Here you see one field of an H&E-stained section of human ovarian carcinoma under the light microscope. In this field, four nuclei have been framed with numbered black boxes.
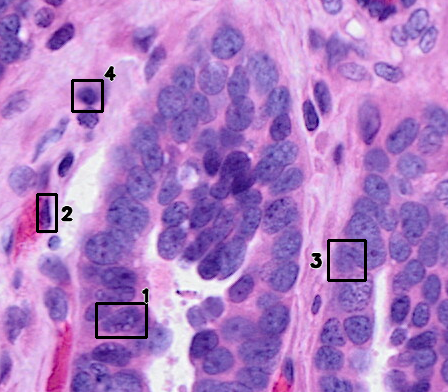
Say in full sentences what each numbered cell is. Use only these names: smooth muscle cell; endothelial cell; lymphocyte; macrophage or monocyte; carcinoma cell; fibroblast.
Cells 1 and 3 are carcinoma cells. Cell 2 is an endothelial cell. Cell 4 is a lymphocyte.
